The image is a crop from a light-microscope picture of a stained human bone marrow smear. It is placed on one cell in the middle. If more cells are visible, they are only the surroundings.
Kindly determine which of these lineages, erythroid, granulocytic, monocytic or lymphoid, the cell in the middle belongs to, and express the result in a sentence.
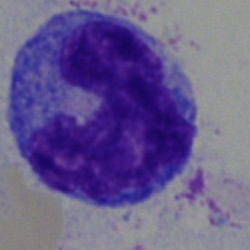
The cell situated centrally in the crop is of the monocytic lineage.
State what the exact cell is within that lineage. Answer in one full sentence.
The cell of interest, located centrally, is a monocyte.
